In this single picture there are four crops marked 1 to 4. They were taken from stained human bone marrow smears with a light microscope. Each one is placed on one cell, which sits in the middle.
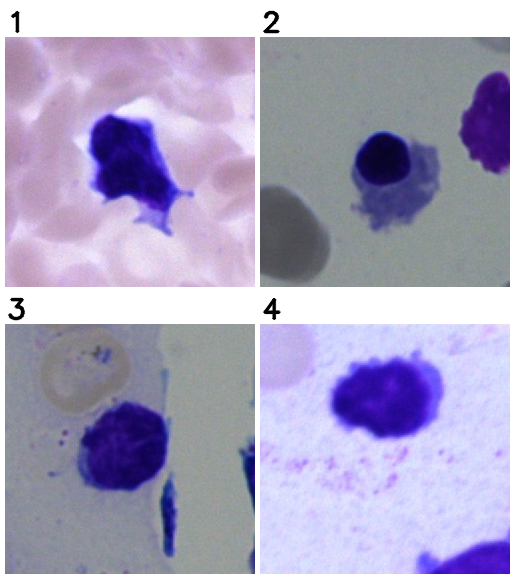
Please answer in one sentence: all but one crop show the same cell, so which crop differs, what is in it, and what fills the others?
All the crops contain lymphocytes save crop 2, where there is an erythroblast.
